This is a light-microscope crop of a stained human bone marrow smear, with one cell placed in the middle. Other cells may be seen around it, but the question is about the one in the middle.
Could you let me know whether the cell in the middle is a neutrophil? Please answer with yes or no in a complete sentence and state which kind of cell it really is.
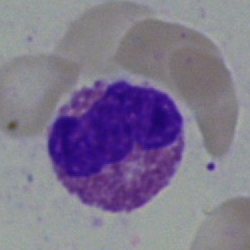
No, rather than being a neutrophil, the central cell is an eosinophil.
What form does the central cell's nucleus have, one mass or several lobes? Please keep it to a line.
The nucleus has been partitioned into two or more lobes.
